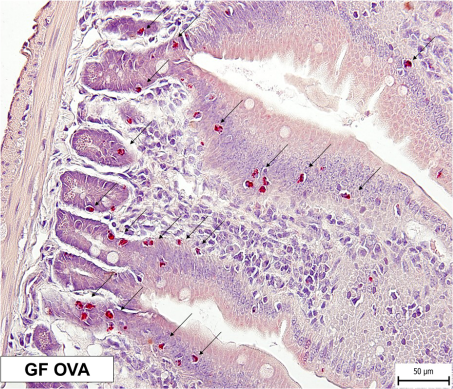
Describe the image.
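Section of small intestinal wall with muscle layer at the left edge, crypts, and villi lined by columnar epithelium with purple nuclei. Background cytoplasm and connective tissue take a pale pink tint.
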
